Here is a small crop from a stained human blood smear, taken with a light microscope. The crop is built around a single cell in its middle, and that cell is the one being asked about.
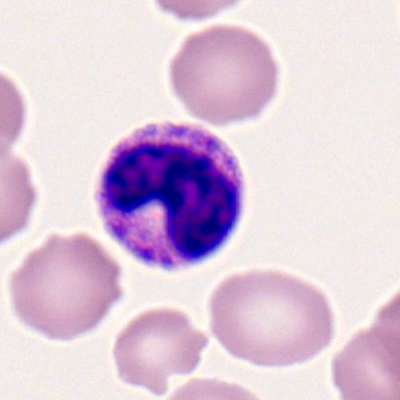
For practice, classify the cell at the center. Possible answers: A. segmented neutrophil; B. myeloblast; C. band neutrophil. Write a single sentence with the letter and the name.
Option C is correct in that the central cell is a band neutrophil.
